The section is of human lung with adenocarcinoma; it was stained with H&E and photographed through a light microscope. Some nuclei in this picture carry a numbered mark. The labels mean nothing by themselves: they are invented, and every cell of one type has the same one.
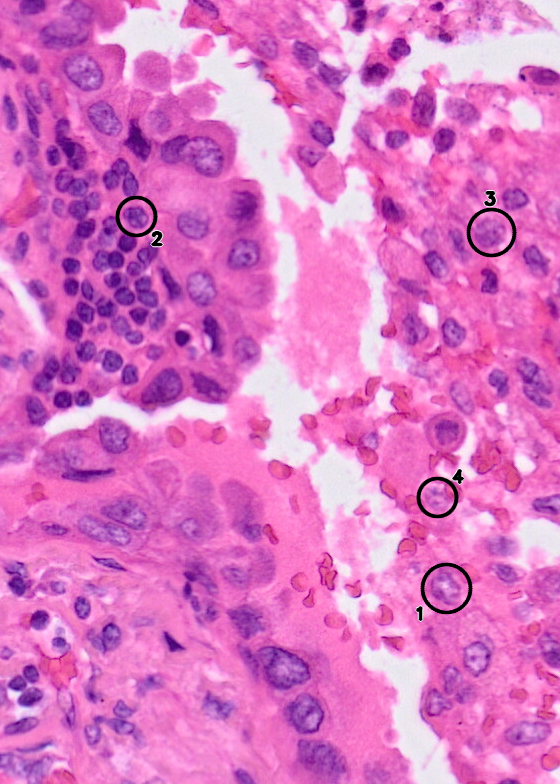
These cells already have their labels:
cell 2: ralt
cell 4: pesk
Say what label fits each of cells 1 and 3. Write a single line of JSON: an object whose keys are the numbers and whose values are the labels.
{"1": "pesk", "3": "pesk"}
